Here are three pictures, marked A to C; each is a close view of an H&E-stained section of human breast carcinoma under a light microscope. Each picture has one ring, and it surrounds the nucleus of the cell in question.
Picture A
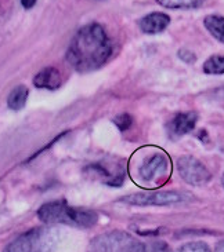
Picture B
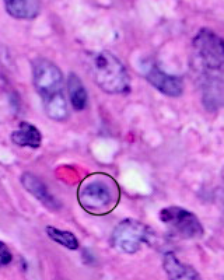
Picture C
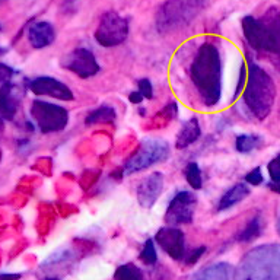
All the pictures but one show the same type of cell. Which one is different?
C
